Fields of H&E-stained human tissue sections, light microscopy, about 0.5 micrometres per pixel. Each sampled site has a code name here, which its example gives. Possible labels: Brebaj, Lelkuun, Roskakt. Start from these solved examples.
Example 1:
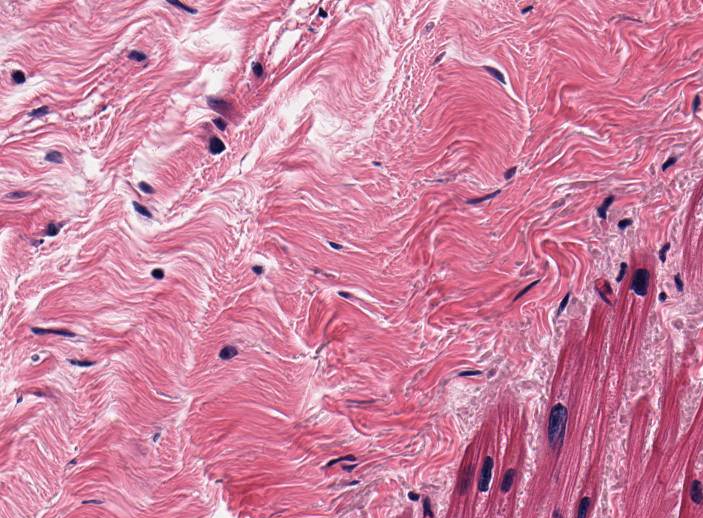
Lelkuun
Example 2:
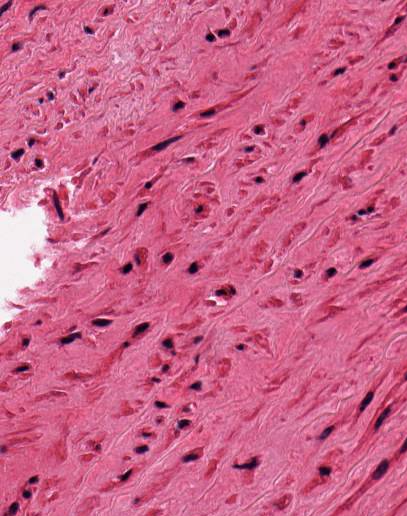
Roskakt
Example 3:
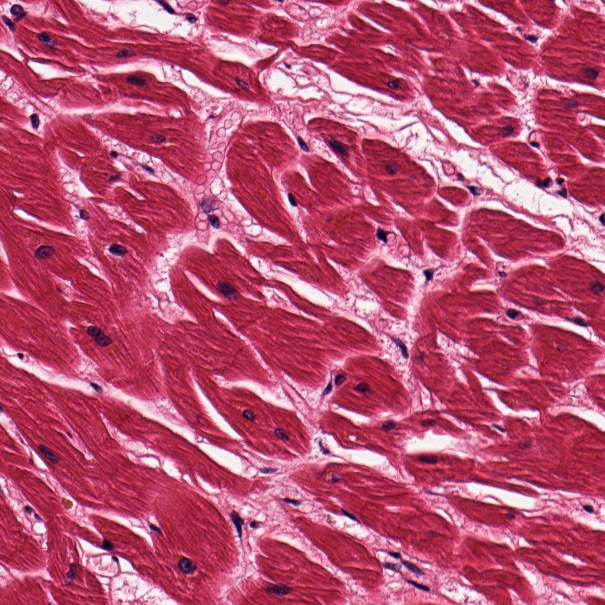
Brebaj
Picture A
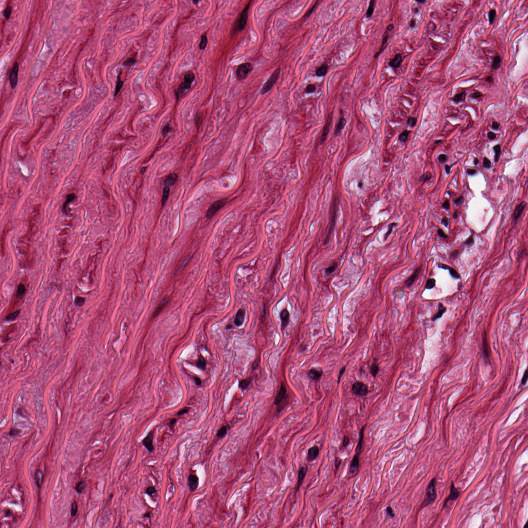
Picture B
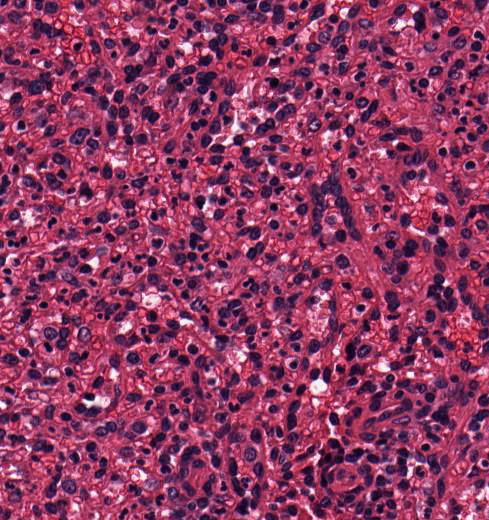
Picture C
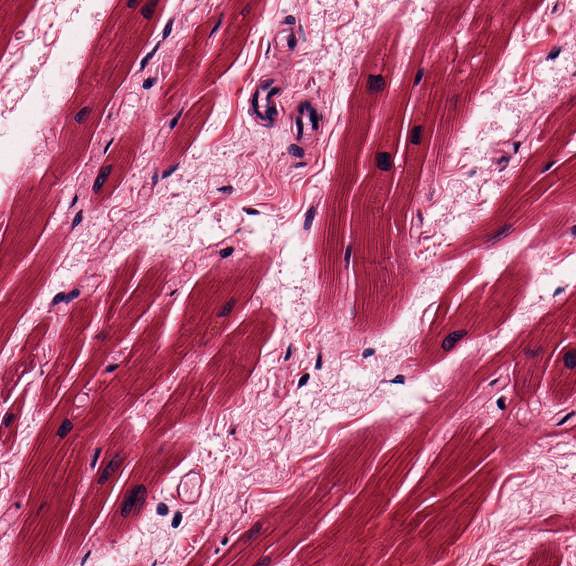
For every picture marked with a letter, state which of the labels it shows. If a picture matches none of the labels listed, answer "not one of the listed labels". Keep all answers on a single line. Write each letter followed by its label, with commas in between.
A Roskakt, B not one of the listed labels, C Lelkuun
